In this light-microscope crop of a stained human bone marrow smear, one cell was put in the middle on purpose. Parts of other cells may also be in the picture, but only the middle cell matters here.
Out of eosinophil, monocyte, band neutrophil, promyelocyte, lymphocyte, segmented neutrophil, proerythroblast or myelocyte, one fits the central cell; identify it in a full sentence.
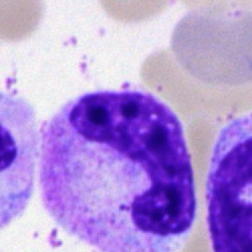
Centrally within this crop lies a band neutrophil.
